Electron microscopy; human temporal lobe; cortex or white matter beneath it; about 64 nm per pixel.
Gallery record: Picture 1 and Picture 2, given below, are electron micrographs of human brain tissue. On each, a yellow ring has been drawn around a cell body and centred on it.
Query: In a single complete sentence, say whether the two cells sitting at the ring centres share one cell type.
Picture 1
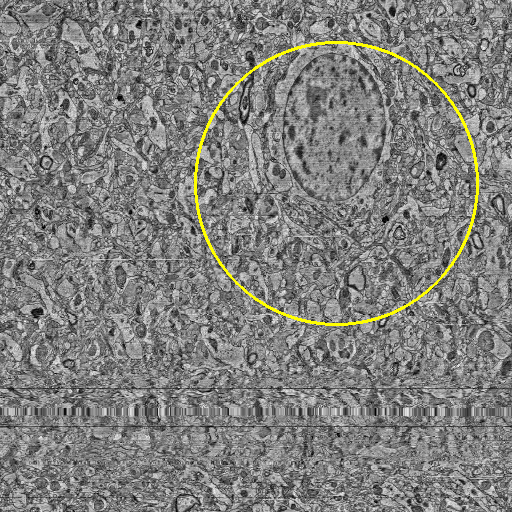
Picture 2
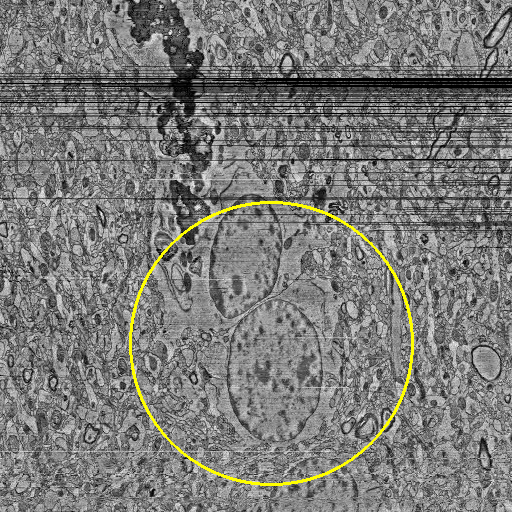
Yes, in both pictures the cell at the ring's centre is of one and the same type.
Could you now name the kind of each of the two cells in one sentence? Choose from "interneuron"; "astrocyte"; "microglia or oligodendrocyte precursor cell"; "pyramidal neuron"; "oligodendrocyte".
In each picture the ringed cell is an astrocyte.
